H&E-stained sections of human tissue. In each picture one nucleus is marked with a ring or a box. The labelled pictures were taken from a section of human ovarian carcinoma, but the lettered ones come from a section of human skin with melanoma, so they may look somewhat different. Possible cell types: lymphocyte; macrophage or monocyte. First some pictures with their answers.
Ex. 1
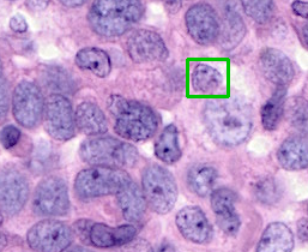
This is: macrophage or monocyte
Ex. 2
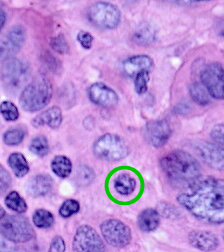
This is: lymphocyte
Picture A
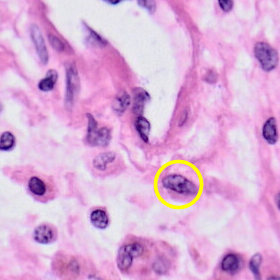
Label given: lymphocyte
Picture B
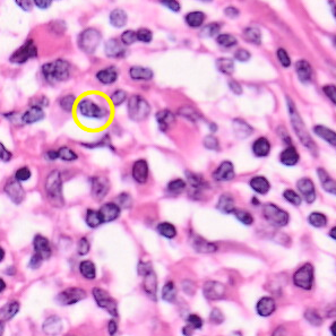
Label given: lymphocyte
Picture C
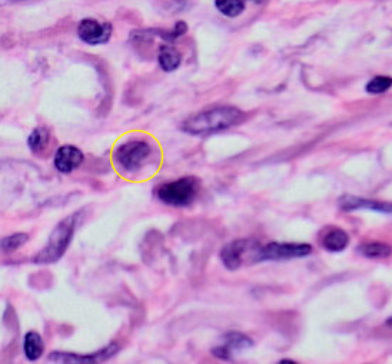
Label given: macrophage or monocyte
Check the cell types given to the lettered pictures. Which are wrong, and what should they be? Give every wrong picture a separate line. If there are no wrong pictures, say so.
A: change lymphocyte to macrophage or monocyte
